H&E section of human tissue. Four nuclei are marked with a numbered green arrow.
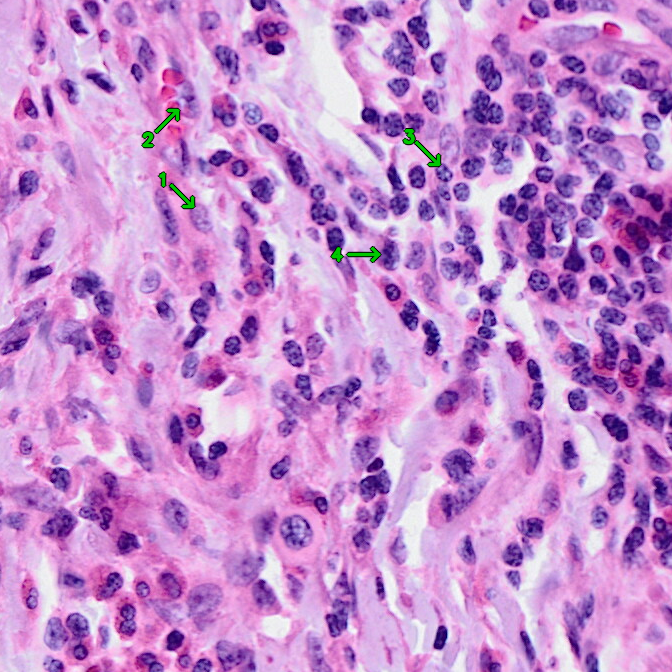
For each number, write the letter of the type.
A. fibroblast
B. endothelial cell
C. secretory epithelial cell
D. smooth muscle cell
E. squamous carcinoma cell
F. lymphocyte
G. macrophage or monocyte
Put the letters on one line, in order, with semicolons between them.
B; B; F; F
